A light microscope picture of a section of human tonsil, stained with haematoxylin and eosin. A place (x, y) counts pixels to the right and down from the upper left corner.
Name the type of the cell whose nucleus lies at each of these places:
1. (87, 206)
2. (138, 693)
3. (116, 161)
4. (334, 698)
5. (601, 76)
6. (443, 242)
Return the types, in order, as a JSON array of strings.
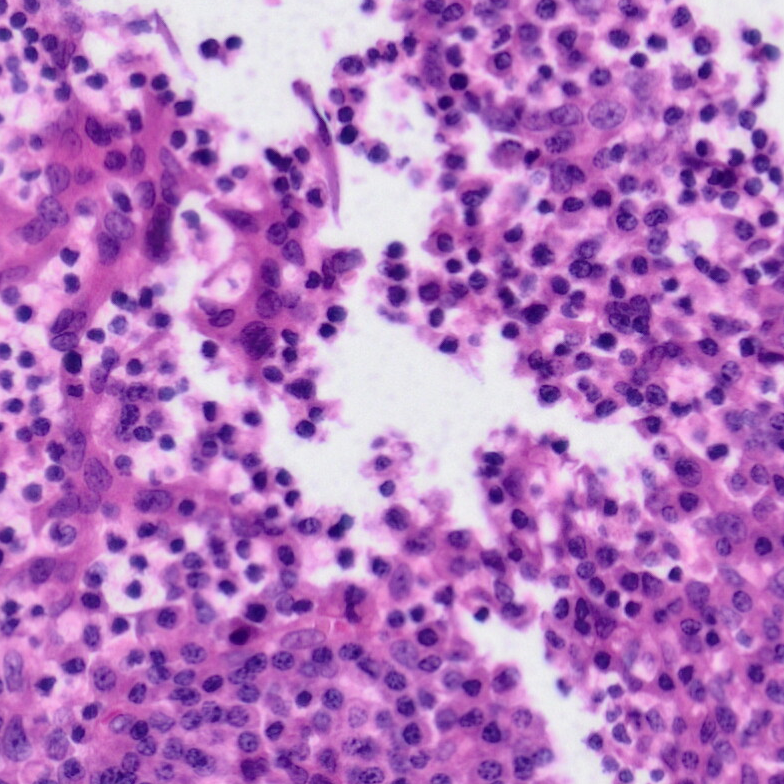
["squamous epithelial cell", "plasma cell", "squamous epithelial cell", "plasma cell", "plasma cell", "plasma cell"]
